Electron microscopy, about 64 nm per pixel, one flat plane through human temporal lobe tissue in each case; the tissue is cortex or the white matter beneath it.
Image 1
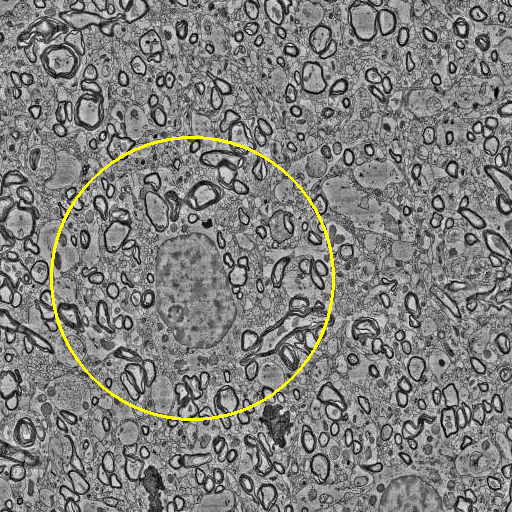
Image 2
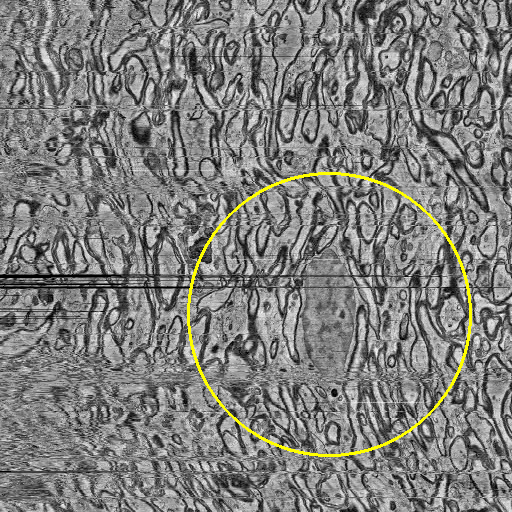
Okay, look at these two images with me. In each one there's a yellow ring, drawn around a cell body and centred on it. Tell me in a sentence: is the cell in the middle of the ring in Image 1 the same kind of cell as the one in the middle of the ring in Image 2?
Yes, they're the same kind of cell.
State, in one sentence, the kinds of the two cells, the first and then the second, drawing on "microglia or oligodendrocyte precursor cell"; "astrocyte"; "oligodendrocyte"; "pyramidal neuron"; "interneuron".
Each cell, in the first picture and the second, is an oligodendrocyte.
